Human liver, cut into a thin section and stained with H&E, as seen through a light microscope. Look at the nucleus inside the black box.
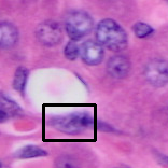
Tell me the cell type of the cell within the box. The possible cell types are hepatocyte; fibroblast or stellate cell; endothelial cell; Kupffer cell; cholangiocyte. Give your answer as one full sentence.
Right, so the cell within the box is a fibroblast or stellate cell, to answer that.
